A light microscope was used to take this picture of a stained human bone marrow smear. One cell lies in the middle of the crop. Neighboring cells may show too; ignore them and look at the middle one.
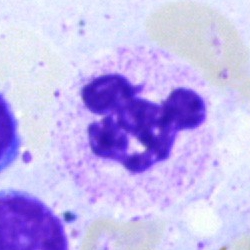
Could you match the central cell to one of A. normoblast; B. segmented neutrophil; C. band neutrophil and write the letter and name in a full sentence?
The cell in the center of this crop is a segmented neutrophil, so option B is the one to pick.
